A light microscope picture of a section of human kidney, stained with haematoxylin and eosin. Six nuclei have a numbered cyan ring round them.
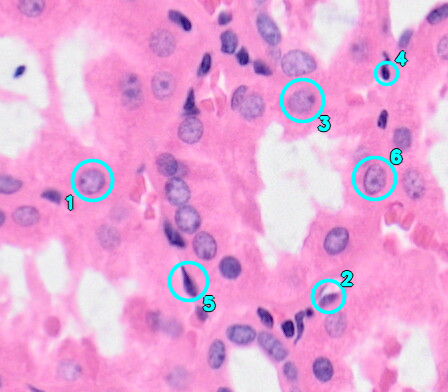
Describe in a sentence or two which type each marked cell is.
Cell 1 is a proximal tubule cell, cell 2 is an endothelial cell, cell 3 is a proximal tubule cell, cell 4 is an endothelial cell, cell 5 is an endothelial cell and cell 6 is a proximal tubule cell.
